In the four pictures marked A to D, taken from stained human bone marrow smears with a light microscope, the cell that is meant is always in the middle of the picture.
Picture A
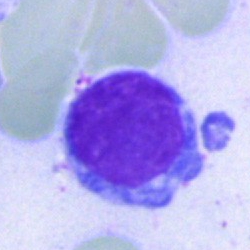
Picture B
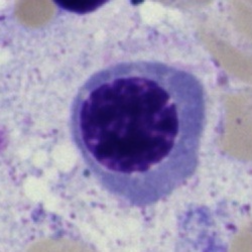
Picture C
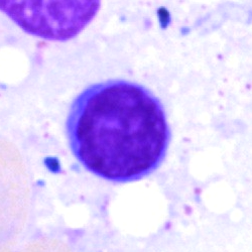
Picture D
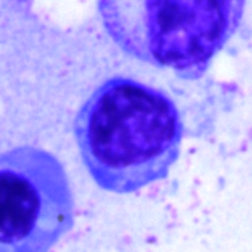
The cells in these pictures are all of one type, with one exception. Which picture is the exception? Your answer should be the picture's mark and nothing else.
B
